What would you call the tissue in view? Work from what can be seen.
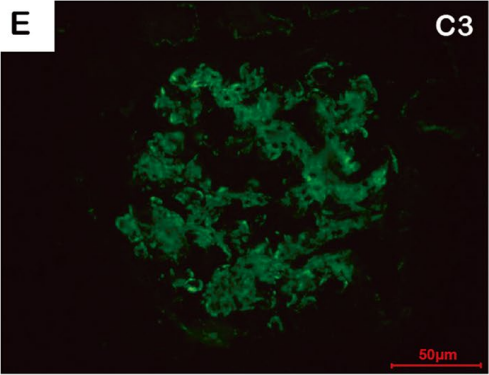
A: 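A single rounded lobulated structure carries the green signal. The signal follows looping capillary-like outlines within it.
Glomerulus.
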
